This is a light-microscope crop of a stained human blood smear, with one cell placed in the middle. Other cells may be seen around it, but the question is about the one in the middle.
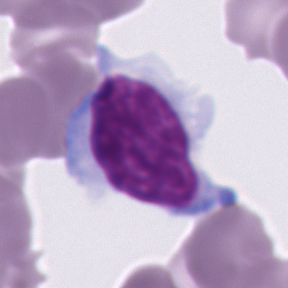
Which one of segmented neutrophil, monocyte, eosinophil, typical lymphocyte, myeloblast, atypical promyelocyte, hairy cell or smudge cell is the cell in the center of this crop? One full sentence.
In this crop, the cell at the very middle is a hairy cell.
